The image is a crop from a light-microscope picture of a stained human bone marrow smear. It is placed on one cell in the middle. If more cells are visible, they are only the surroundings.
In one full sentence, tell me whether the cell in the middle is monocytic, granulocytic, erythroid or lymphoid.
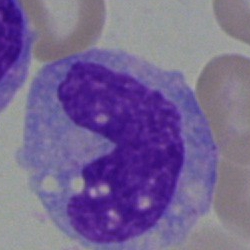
Among the lineages, the monocytic one is that of the central cell.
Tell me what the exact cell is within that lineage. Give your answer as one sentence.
The centrally positioned cell in the crop represents a monocyte.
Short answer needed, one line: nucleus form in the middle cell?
Just one compact nuclear mass here, round, oval or kidney-shaped.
